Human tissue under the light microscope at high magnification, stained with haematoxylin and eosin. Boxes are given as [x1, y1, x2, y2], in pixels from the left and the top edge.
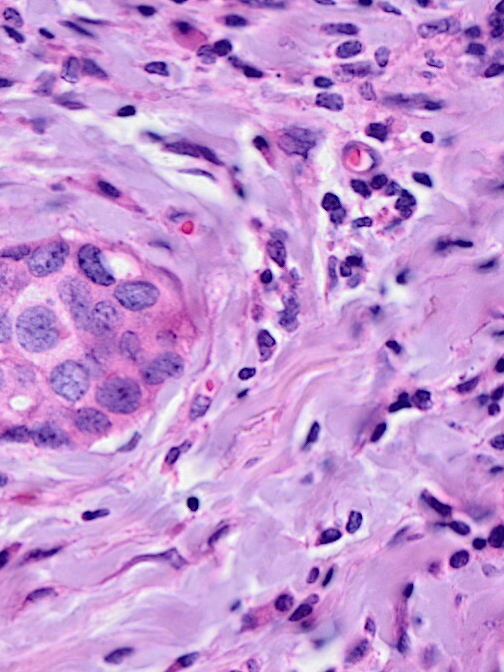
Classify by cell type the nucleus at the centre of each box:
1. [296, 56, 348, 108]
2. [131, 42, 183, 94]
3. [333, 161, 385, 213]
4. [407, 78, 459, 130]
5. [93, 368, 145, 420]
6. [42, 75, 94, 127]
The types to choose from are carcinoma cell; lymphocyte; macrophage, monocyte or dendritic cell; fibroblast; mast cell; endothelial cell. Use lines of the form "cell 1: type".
cell 1: lymphocyte
cell 2: lymphocyte
cell 3: lymphocyte
cell 4: lymphocyte
cell 5: carcinoma cell
cell 6: fibroblast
